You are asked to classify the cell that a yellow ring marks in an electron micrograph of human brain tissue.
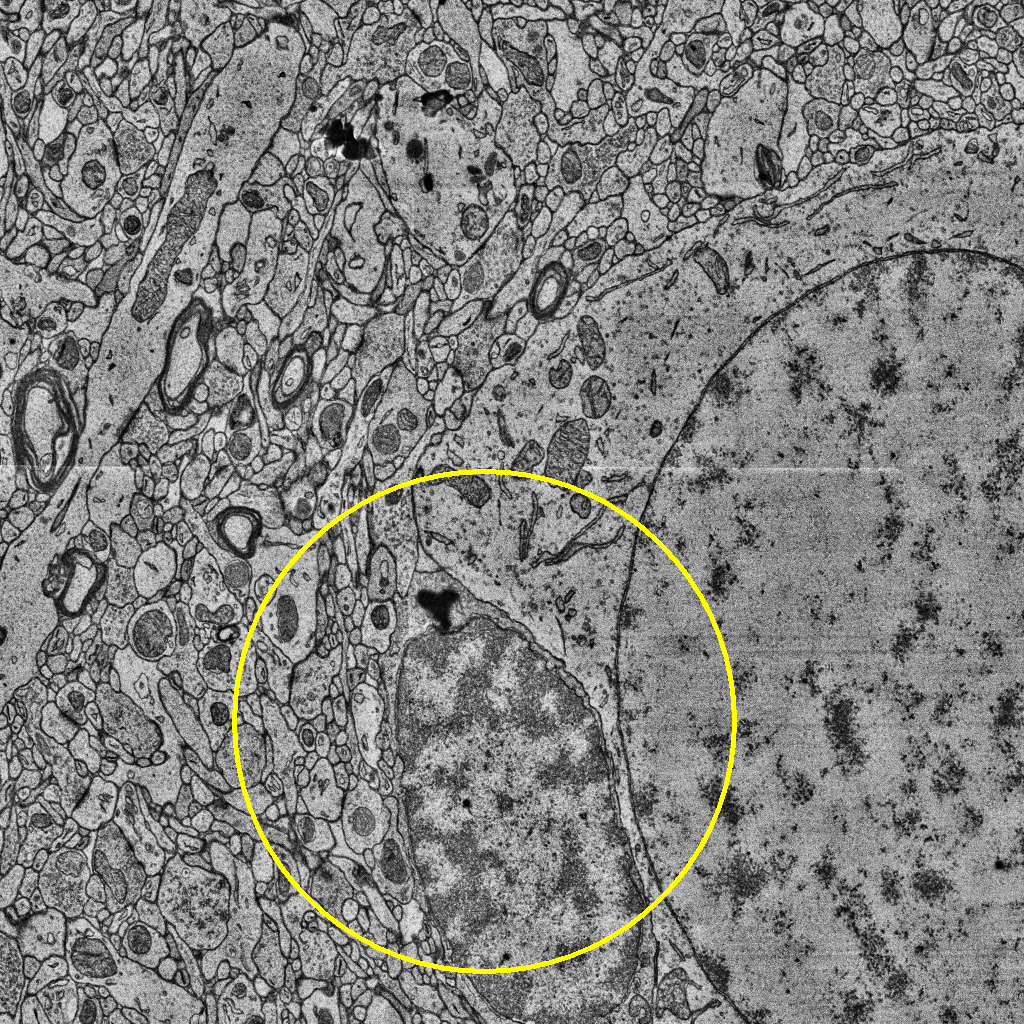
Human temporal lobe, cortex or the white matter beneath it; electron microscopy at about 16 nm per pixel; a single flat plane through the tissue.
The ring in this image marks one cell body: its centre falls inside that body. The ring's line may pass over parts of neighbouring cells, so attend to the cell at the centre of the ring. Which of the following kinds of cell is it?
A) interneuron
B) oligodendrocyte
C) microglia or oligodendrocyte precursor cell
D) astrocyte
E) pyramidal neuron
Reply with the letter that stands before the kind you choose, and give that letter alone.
B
